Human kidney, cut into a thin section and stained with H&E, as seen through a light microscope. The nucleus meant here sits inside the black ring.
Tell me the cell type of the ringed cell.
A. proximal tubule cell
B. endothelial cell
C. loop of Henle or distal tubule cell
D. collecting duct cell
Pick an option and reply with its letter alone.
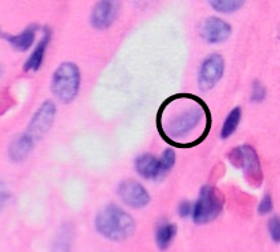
D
